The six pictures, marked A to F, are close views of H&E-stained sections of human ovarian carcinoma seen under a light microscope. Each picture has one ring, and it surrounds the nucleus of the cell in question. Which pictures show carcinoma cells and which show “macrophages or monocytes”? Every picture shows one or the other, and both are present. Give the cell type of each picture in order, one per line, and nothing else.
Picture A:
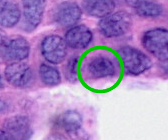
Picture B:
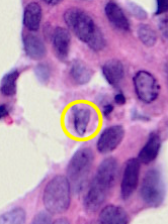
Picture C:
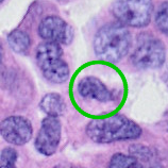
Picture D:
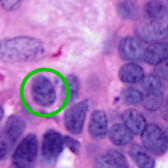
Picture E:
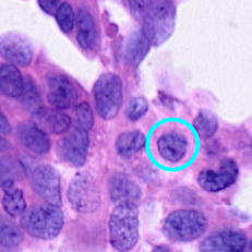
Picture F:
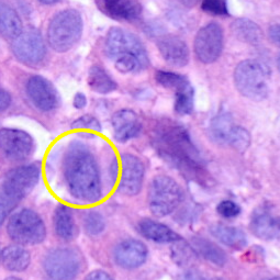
carcinoma cell
macrophage or monocyte
macrophage or monocyte
carcinoma cell
macrophage or monocyte
carcinoma cell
